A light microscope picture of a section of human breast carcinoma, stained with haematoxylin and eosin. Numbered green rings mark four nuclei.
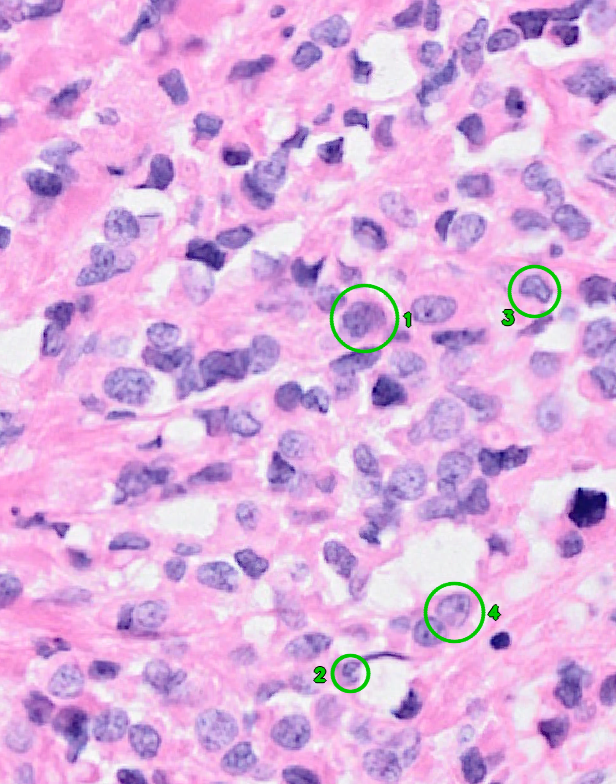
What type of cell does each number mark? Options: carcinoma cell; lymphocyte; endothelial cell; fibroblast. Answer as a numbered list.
1. carcinoma cell
2. endothelial cell
3. carcinoma cell
4. carcinoma cell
